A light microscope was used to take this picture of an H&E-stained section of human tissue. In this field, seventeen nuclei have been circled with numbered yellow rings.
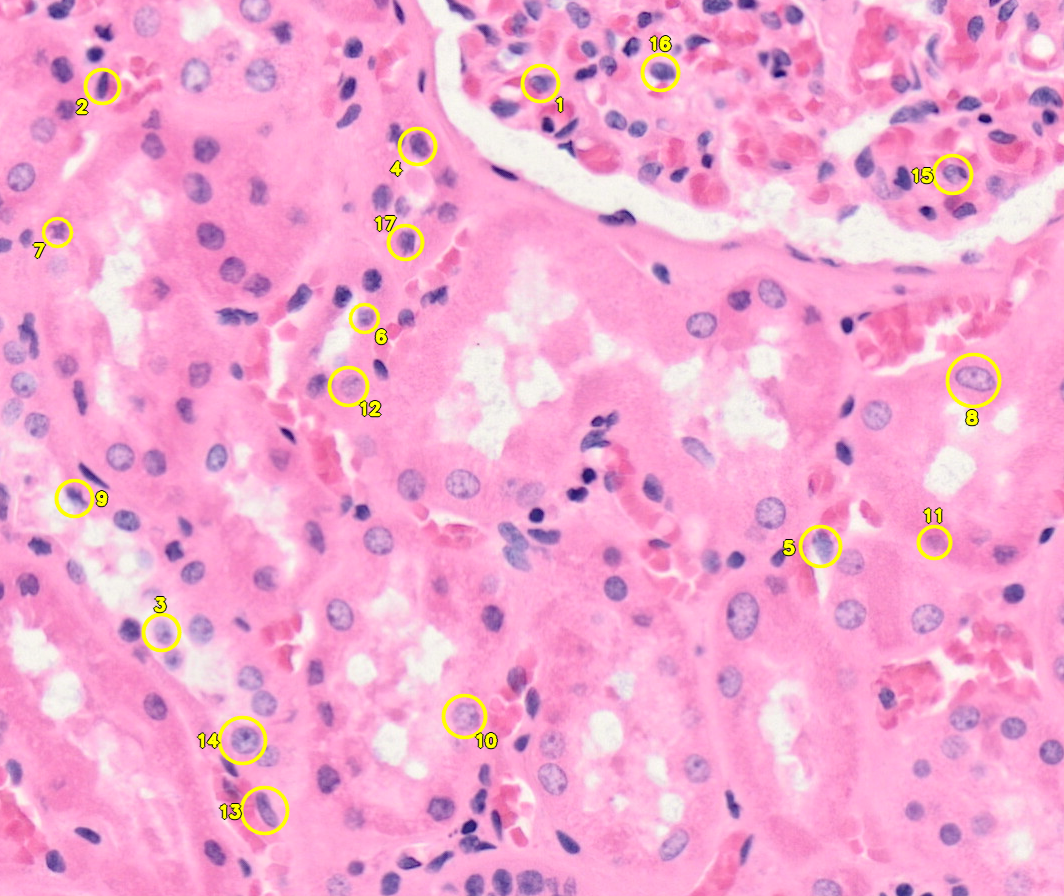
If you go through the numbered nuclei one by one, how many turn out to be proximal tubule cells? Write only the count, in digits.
4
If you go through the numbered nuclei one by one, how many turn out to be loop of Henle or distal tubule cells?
7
